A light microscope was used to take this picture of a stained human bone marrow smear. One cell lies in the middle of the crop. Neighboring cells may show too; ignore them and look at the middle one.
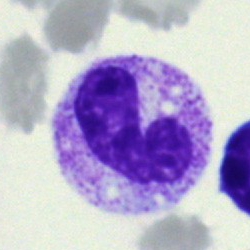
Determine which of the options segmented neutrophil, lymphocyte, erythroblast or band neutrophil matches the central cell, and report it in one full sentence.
As for the central cell, it is a band neutrophil.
